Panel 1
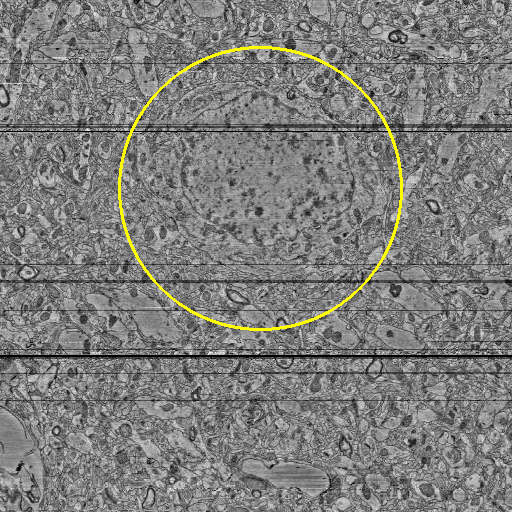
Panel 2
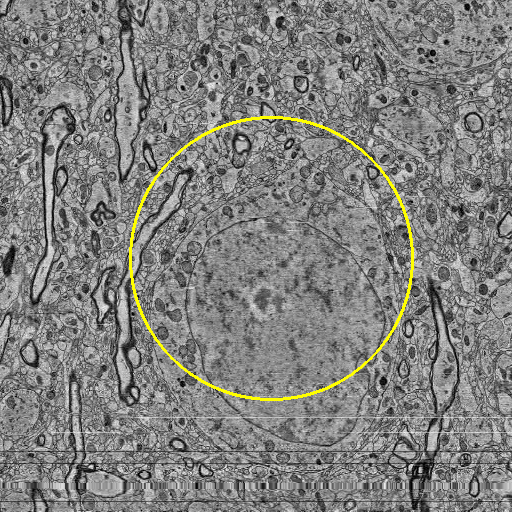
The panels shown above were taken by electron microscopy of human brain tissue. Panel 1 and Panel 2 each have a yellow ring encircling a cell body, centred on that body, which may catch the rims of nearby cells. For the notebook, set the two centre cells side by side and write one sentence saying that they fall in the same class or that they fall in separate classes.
The centred cells of Panel 1 and Panel 2 fall in separate classes.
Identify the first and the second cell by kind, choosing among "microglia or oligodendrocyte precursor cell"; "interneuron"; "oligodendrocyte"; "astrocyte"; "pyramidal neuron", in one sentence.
The one in the first picture is an interneuron, while the one in the second is a pyramidal neuron.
